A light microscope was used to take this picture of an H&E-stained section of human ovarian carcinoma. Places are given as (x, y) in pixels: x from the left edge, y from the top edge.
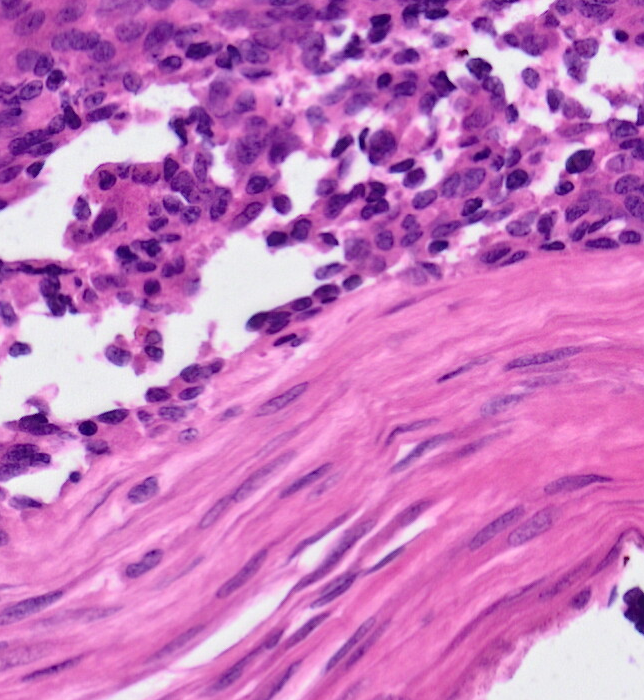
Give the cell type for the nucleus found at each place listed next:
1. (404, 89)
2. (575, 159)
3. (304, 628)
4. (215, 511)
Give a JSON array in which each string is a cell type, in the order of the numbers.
["carcinoma cell", "carcinoma cell", "fibroblast", "fibroblast"]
